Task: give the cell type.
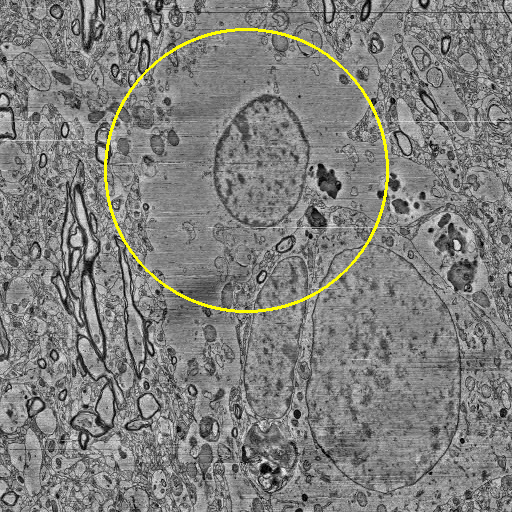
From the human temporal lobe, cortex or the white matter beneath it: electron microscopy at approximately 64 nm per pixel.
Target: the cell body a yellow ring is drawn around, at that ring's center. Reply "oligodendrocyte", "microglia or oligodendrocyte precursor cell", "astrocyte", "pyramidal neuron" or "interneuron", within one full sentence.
In this picture, the cell whose body lies at the ring's center is an astrocyte.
